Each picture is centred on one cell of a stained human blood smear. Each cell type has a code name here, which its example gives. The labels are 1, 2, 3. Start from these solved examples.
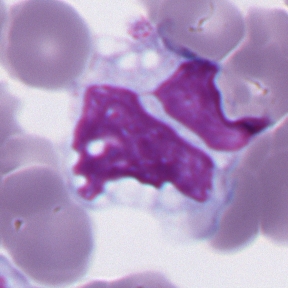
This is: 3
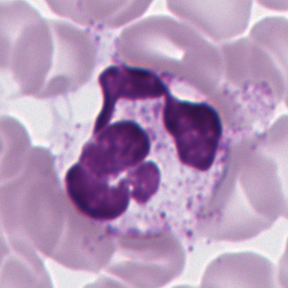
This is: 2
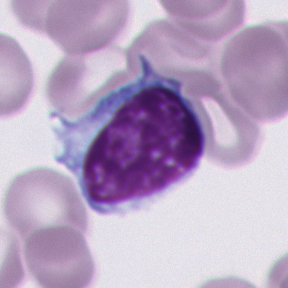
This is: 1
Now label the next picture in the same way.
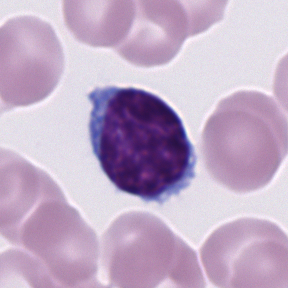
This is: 1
